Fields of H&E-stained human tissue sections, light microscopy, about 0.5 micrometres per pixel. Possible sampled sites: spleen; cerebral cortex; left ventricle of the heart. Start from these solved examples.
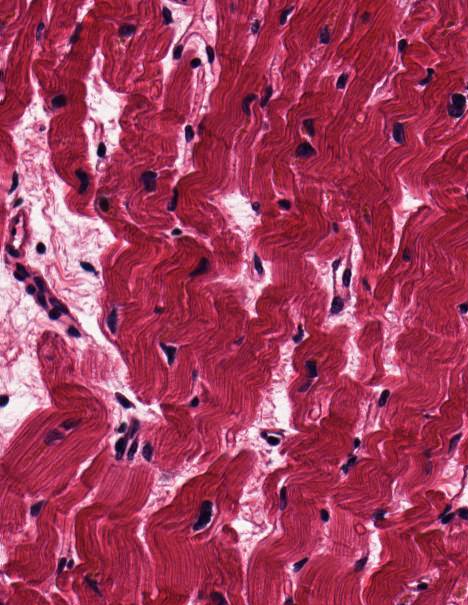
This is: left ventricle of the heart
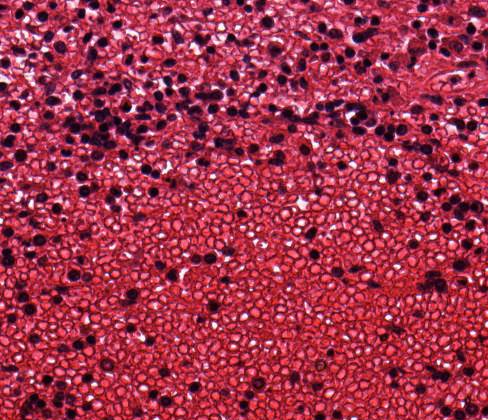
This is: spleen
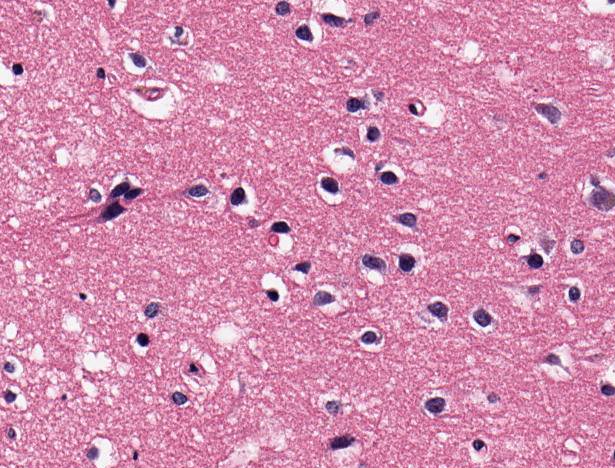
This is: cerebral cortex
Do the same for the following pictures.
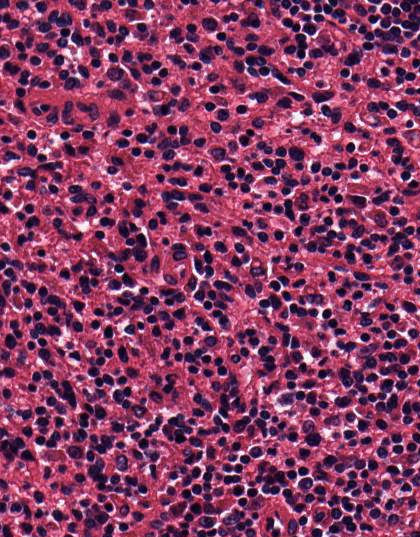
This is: spleen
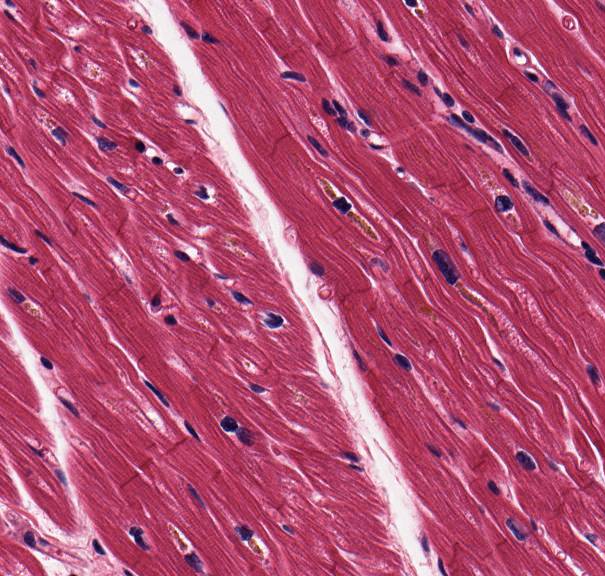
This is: left ventricle of the heart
